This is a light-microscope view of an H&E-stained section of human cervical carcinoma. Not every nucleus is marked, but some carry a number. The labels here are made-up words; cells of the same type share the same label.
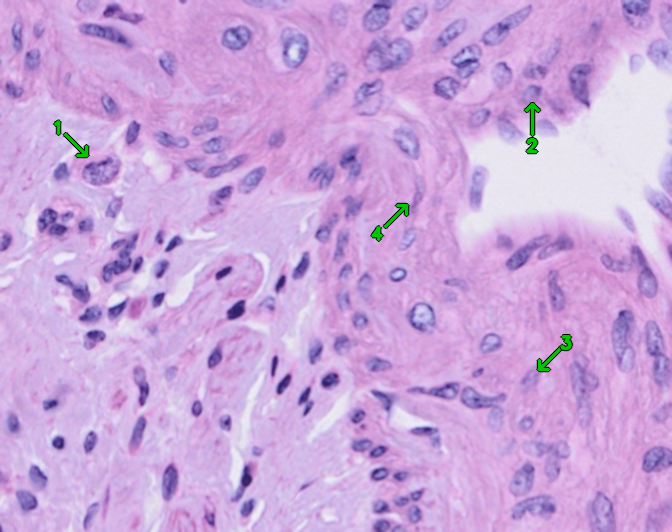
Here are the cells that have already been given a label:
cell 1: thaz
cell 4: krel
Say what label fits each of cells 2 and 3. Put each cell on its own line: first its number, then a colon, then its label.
2: krel
3: krel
